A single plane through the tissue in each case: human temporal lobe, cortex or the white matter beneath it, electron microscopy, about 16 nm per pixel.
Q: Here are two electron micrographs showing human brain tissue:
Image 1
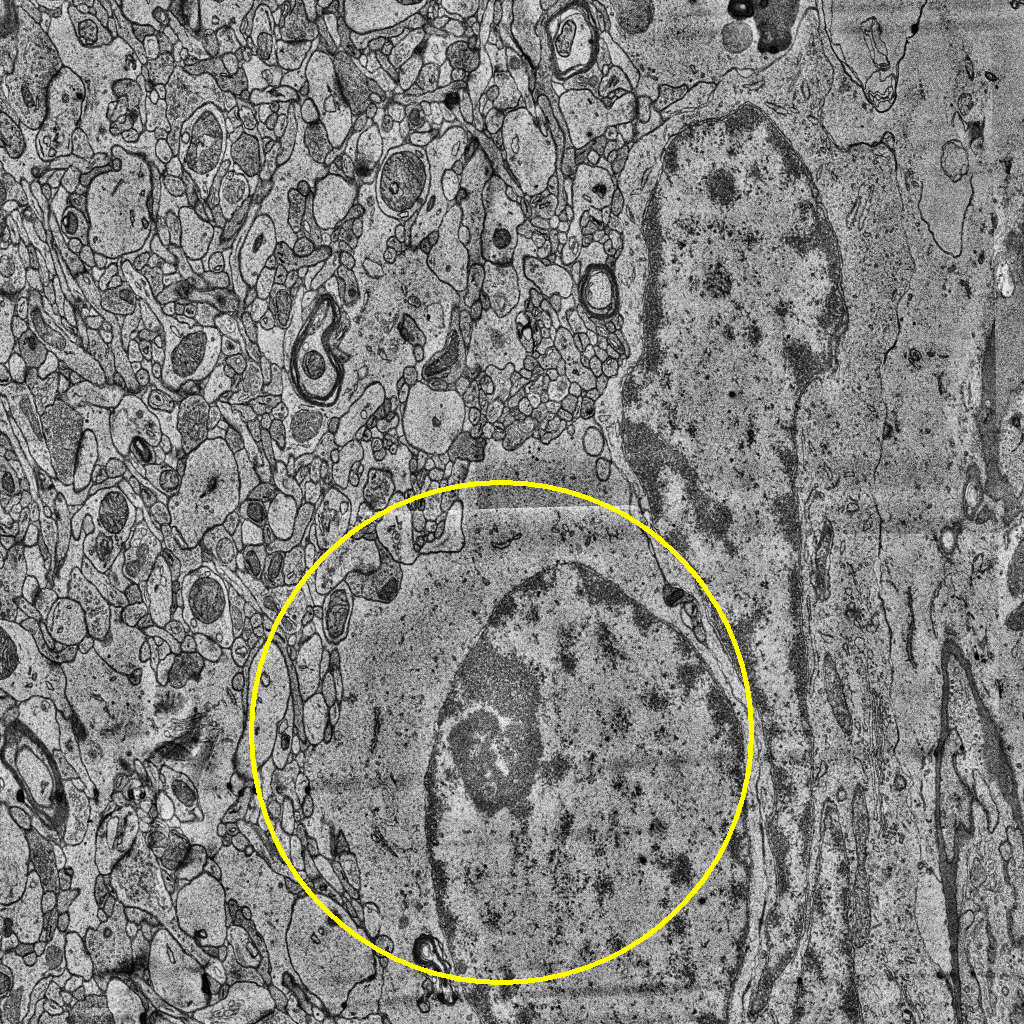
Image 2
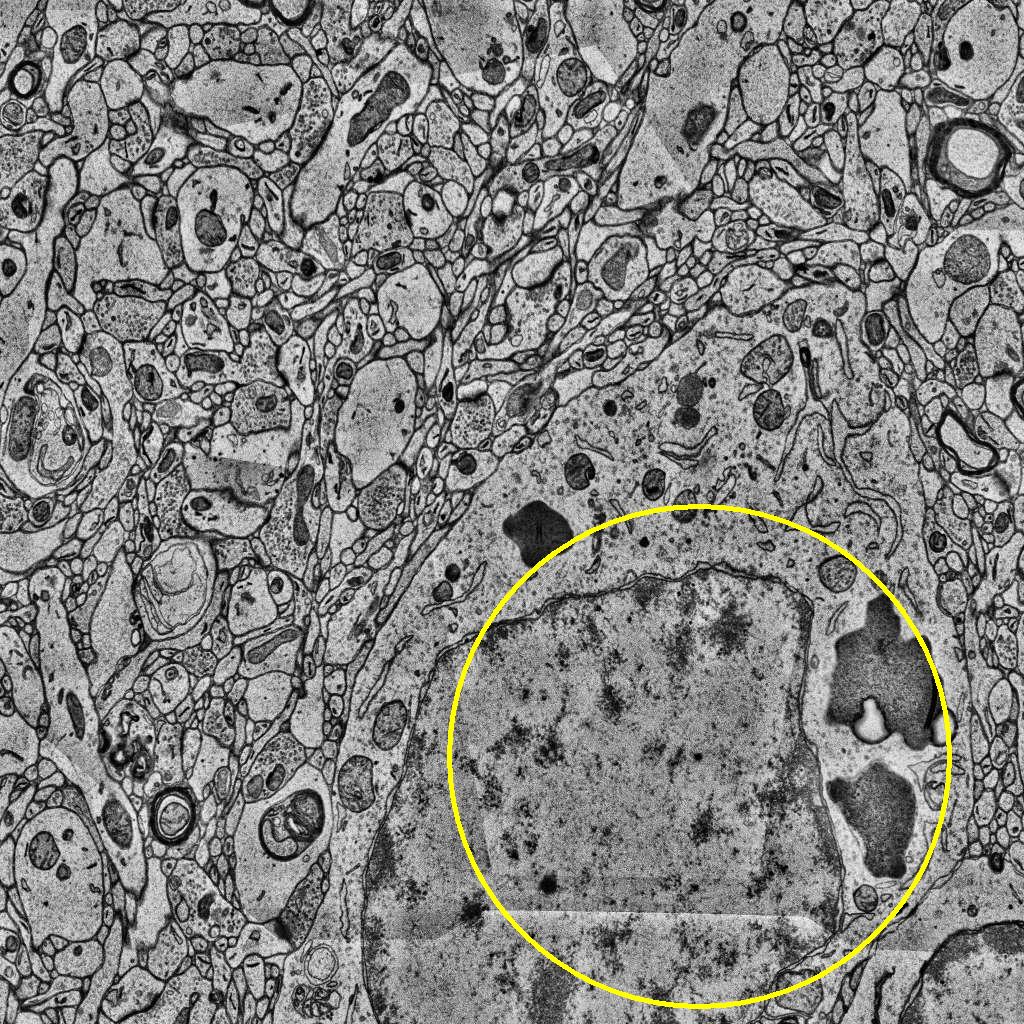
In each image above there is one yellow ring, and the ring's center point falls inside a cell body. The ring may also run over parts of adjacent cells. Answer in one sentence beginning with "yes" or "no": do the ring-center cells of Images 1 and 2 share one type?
No, in Images 1 and 2, the ring-center cells are of two types.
